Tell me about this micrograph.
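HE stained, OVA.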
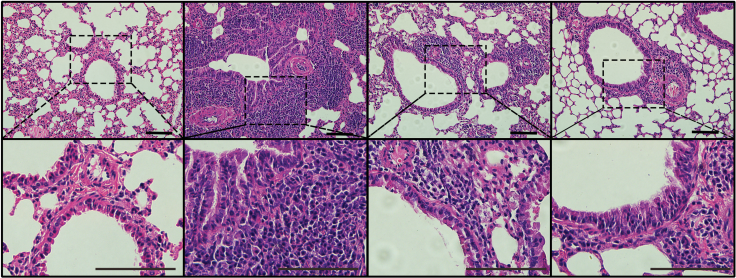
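In most columns a bronchiole lined by epithelium sits among thin-walled alveoli with pink septa. In the second column the tissue around the airway and a blood vessel is packed with dense sheets of small, dark purple, round nuclei. The alveolar spaces there are largely filled in.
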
